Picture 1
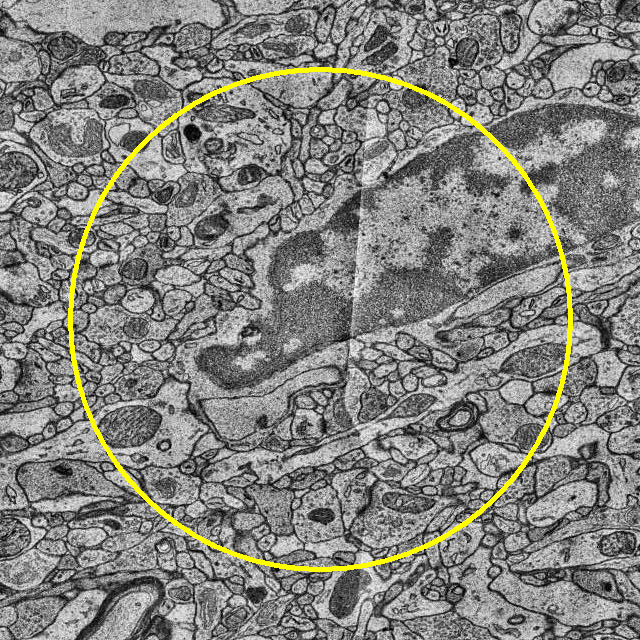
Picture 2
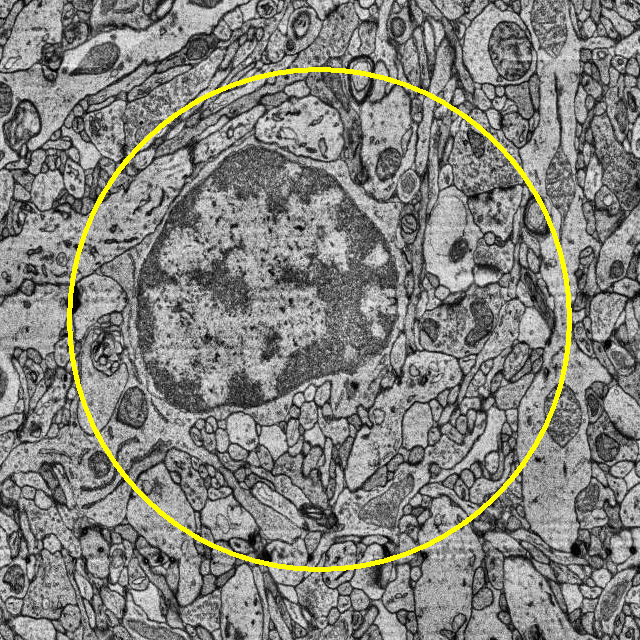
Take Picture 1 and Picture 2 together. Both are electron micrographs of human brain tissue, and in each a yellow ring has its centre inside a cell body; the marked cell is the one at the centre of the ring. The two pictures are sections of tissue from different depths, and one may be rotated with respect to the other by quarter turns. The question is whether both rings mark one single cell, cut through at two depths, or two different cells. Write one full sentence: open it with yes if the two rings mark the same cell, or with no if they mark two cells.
Yes, the second ring marks the same cell as the first.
